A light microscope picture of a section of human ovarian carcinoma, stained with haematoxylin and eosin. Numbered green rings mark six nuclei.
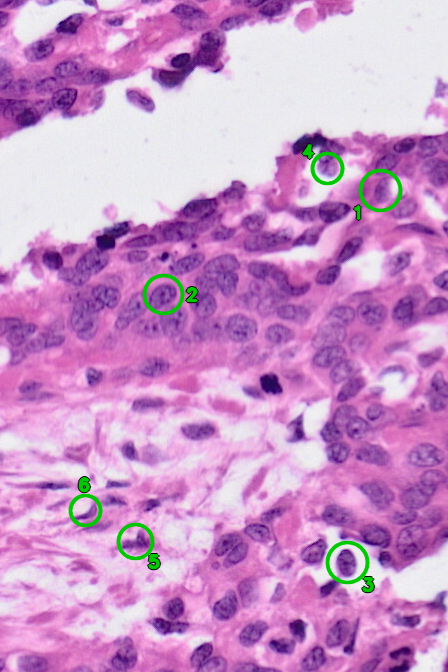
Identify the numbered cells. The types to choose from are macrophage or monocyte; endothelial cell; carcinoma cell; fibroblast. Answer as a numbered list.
1. carcinoma cell
2. carcinoma cell
3. carcinoma cell
4. carcinoma cell
5. fibroblast
6. fibroblast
